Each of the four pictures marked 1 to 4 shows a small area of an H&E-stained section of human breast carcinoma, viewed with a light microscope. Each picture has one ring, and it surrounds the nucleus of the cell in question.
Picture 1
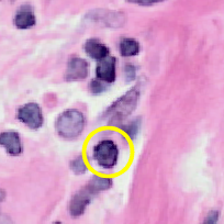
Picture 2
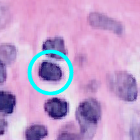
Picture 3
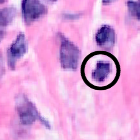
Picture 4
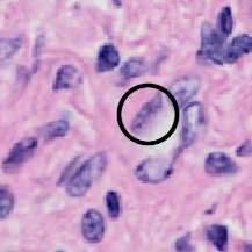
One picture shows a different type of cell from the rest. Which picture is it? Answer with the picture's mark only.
4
